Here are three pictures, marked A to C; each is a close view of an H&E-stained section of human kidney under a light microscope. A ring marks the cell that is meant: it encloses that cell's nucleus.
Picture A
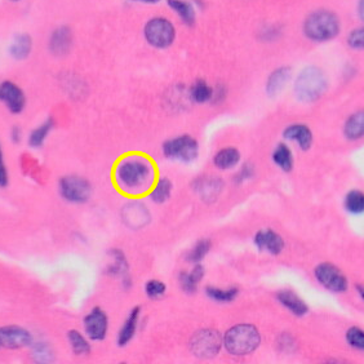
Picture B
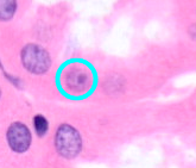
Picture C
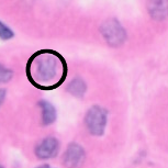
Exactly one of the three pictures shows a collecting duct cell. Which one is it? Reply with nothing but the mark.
A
